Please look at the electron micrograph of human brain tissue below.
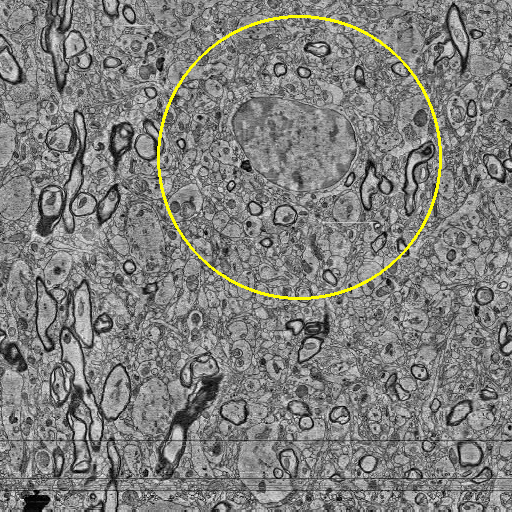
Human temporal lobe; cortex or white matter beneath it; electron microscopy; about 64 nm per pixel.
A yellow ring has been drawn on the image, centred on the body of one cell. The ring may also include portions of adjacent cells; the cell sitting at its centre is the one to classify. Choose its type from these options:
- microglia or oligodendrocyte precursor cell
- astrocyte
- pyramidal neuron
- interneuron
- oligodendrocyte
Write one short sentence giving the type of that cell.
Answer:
The cell in the middle of the ring is a microglial cell or oligodendrocyte precursor cell.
